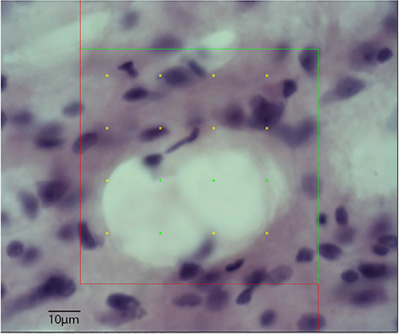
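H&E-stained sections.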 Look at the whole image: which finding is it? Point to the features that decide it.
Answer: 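Vacuoles. A large clear, unstained rounded space lies in the centre of the field. Dark purple nuclei surround the clear space.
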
